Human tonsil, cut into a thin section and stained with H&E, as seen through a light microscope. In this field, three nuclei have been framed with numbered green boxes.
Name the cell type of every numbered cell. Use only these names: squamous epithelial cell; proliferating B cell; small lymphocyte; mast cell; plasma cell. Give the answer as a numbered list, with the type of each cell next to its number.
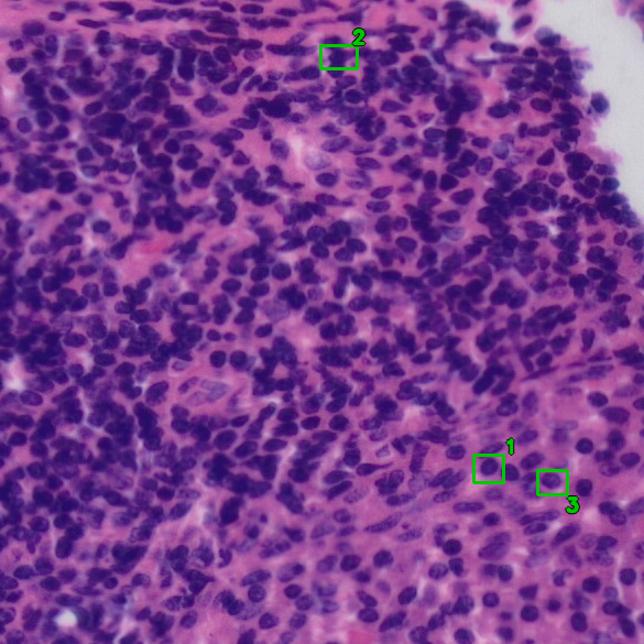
1. plasma cell
2. small lymphocyte
3. plasma cell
